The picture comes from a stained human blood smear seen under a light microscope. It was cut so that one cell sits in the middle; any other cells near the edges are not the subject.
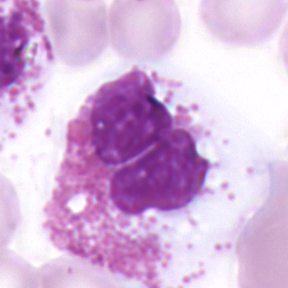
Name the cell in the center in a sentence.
Regarding the central cell, it is an eosinophil.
